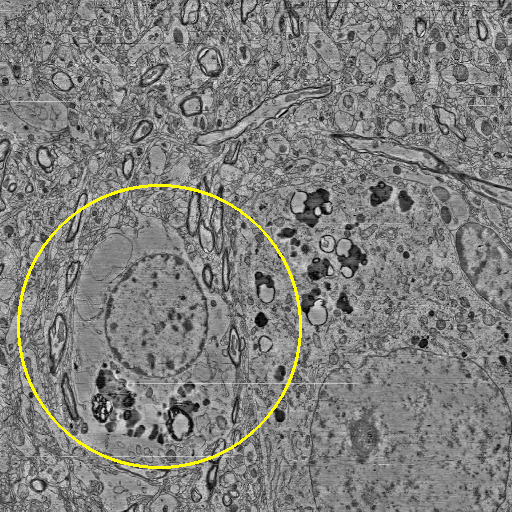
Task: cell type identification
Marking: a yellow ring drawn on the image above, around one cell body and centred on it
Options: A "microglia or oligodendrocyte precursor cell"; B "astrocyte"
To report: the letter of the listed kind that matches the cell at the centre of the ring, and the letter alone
B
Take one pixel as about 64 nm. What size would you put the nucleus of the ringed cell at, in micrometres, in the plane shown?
About 8 by 7 micrometres in this plane.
